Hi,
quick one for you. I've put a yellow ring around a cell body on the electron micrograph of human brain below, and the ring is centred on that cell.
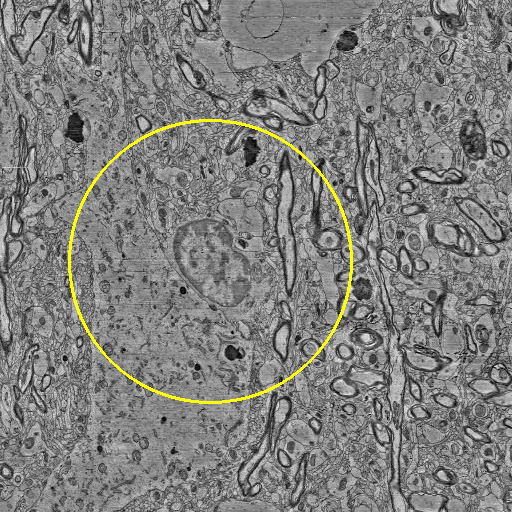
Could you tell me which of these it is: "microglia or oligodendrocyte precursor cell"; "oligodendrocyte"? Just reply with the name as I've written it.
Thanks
oligodendrocyte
